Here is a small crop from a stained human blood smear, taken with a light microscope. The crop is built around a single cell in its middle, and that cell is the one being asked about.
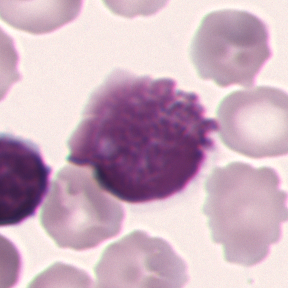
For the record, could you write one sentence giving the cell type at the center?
The crop centres on a single cell, and that cell is a smudge cell.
